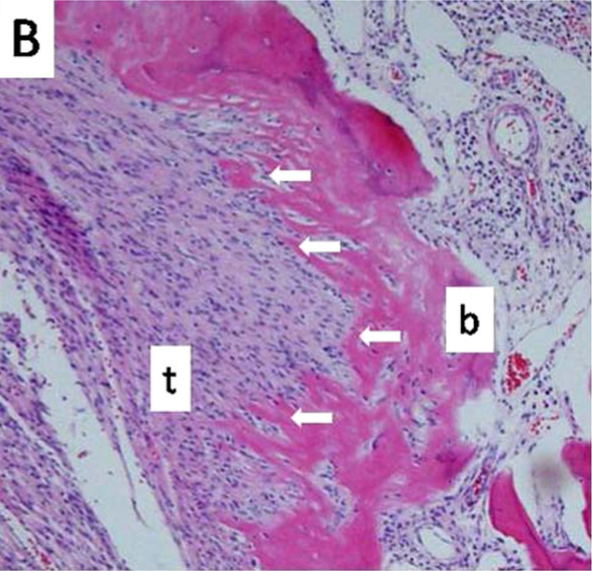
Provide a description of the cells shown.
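Junction between a spindle cell tumor and bone. On one side lies cellular tissue of elongated cells with dark oval nuclei, running in long parallel streams. It presses against a broad band of dense, bright pink bone whose facing edge is ragged and irregular, with tumor tissue reaching into it. Beyond the bone lies looser tissue with clear, rounded empty spaces, scattered small cells, small blood vessels and clusters of red blood cells, consistent with marrow. Separate fragments of pink bone are seen at the lower edge.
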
